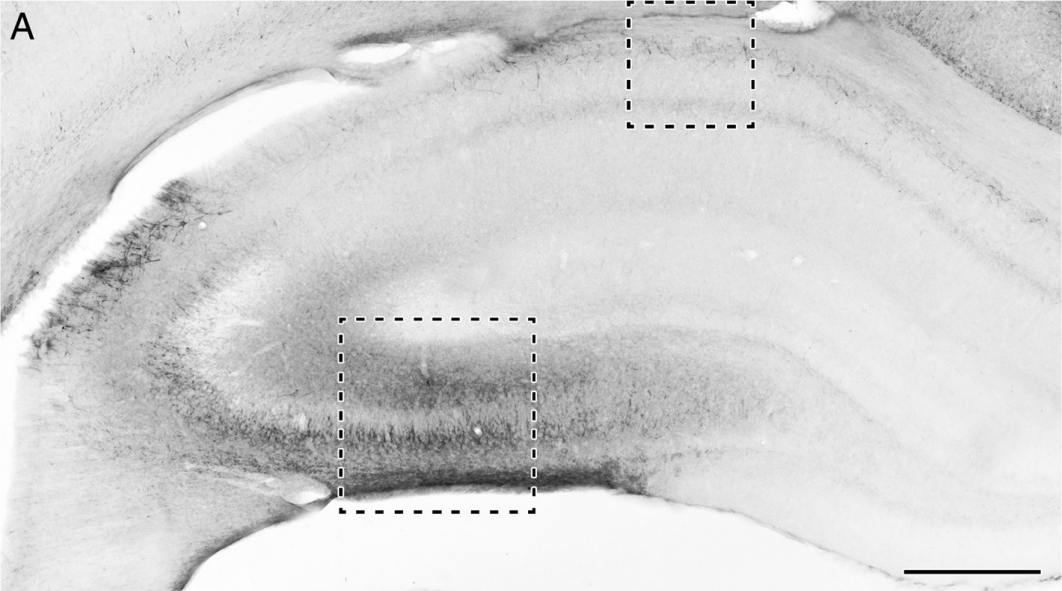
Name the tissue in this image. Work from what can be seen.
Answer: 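A curved, layered C-shaped band of tissue runs across the section. Parallel laminae of differing stain intensity follow the curve. So: hippocampus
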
